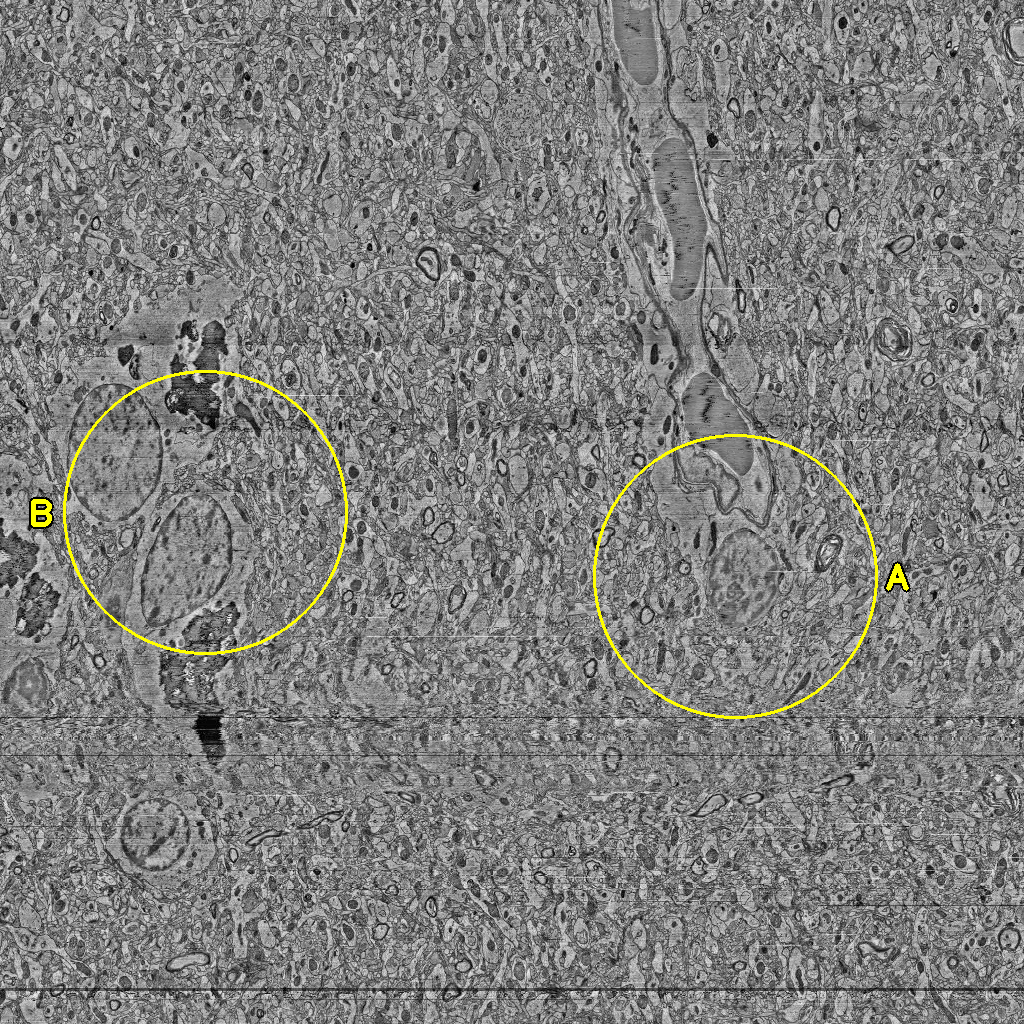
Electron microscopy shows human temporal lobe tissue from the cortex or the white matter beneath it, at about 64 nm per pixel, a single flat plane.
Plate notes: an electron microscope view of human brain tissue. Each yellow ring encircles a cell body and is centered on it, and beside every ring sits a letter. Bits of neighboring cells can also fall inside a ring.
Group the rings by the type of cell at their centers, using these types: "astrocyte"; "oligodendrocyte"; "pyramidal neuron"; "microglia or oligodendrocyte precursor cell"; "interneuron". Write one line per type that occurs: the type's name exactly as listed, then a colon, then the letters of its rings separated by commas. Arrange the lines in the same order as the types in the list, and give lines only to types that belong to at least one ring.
astrocyte: B
oligodendrocyte: A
